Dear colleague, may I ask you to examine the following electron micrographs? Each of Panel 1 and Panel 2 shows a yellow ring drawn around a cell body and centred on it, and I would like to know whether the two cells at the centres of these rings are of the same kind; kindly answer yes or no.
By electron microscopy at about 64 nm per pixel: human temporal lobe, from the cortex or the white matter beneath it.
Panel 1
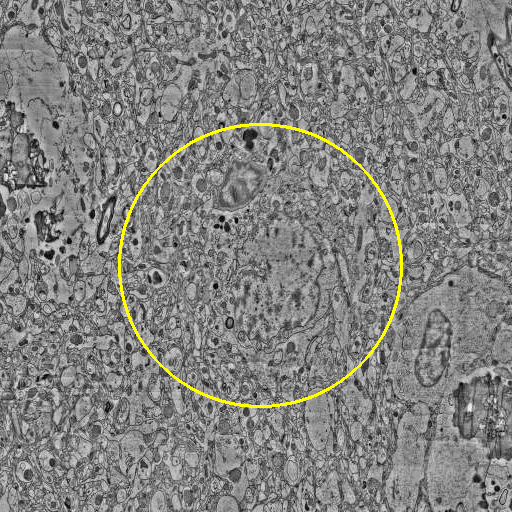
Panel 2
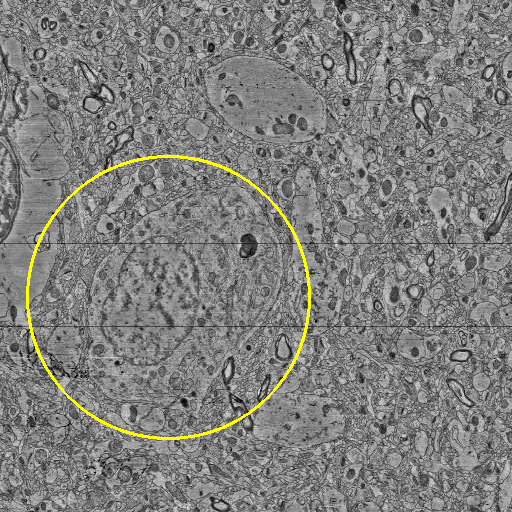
yes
